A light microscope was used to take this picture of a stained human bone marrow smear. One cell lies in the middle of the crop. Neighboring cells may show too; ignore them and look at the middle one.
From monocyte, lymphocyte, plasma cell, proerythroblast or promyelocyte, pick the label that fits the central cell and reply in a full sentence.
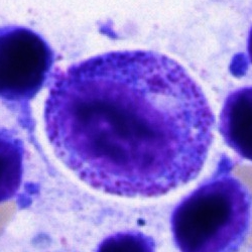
The crop shows a promyelocyte in its centre.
